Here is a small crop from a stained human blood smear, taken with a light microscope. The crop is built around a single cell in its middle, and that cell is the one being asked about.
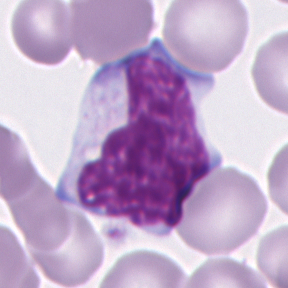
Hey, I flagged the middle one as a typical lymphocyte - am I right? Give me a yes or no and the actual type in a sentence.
No, rather than being a typical lymphocyte, the central cell is a large granular lymphocyte.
